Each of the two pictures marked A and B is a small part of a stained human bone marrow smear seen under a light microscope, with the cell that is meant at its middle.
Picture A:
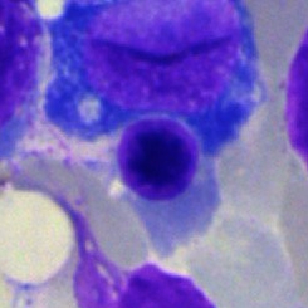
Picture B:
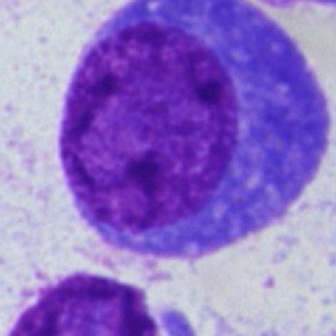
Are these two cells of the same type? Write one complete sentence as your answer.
No, the types are not the same, since picture A shows an erythroblast and picture B a plasma cell.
